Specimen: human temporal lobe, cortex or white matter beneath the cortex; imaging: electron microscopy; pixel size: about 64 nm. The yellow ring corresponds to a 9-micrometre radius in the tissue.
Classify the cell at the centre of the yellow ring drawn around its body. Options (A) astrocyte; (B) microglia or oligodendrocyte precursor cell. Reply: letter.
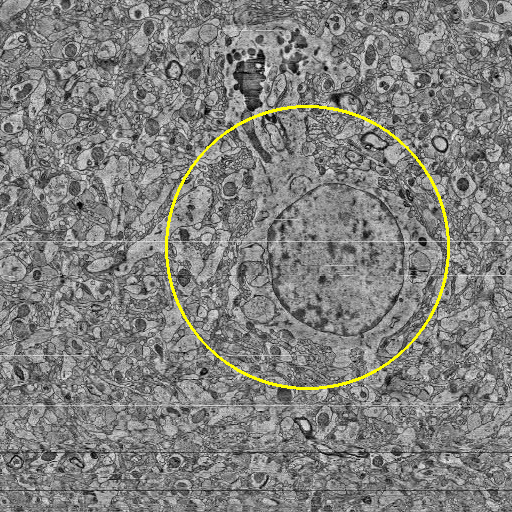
A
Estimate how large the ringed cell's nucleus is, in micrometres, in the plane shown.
Roughly 10 by 9 micrometres in this plane, for the nucleus of the ringed cell.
